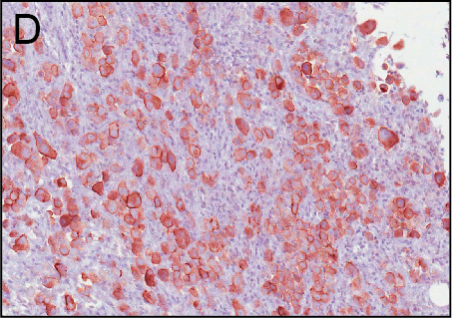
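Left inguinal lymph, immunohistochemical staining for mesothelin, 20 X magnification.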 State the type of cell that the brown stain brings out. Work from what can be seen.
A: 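Large round to polygonal cells are stained brown. The brown cells are much larger than the small blue-nucleated cells around them.
Tumor cells.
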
